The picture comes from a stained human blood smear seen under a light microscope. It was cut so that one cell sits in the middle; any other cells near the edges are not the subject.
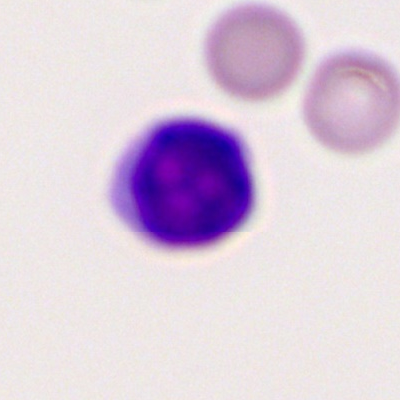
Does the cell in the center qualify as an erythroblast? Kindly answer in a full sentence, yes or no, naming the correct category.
No, the central cell does not represent an erythroblast, but a lymphocyte.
